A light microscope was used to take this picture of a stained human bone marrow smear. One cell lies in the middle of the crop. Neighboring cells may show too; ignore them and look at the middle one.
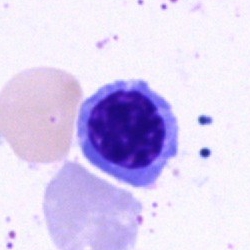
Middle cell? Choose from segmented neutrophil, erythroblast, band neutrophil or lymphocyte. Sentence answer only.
What sits at the centre of this crop is an erythroblast.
